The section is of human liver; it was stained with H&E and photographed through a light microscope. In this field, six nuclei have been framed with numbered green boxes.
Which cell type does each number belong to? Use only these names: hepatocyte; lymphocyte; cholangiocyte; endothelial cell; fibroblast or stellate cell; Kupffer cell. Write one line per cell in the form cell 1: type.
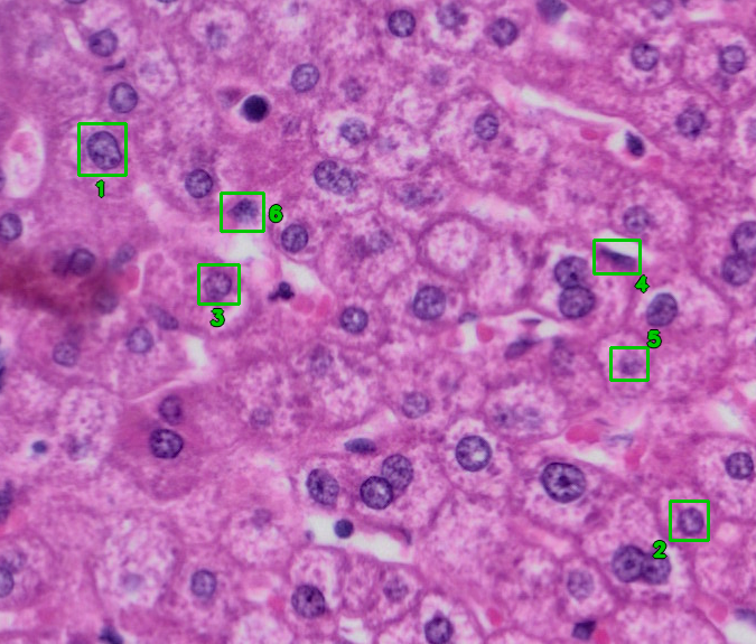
cell 1: hepatocyte
cell 2: hepatocyte
cell 3: hepatocyte
cell 4: Kupffer cell
cell 5: hepatocyte
cell 6: endothelial cell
